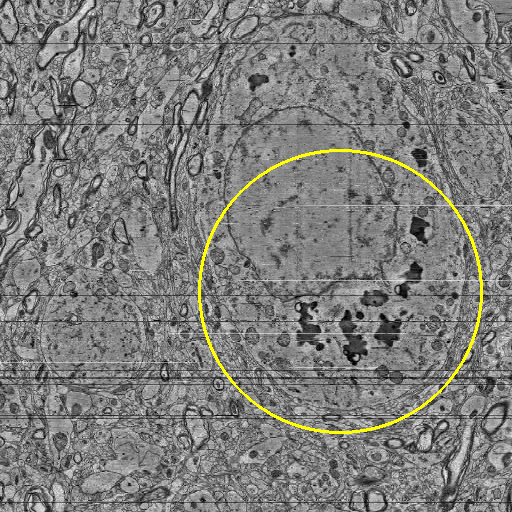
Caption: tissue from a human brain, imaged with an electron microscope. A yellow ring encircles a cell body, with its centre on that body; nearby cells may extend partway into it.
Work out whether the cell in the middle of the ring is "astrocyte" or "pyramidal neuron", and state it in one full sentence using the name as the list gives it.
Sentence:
In the picture, the cell that the yellow ring surrounds at its centre is a pyramidal neuron.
